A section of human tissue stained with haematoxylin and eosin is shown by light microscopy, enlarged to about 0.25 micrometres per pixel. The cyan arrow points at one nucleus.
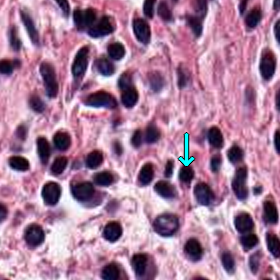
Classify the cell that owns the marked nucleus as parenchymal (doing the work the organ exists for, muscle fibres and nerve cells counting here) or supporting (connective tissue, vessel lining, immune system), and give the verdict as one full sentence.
The marked nucleus is counted as that of a supporting cell.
